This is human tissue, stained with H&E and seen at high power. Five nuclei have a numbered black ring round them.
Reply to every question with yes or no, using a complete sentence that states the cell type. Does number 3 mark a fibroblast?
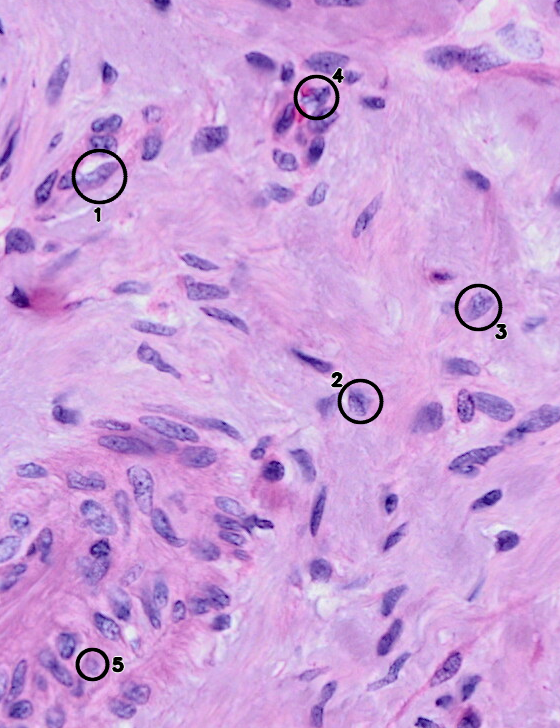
Yes, cell number 3 is classified as a fibroblast.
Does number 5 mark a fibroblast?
No, number 5 is assigned to a smooth muscle cell, not to a fibroblast.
